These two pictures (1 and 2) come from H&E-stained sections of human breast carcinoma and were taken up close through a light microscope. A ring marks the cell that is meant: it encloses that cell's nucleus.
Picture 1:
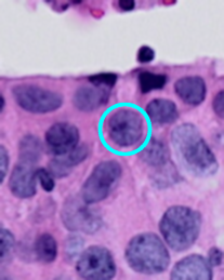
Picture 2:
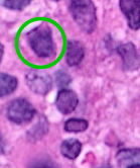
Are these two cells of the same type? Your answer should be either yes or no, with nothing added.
yes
